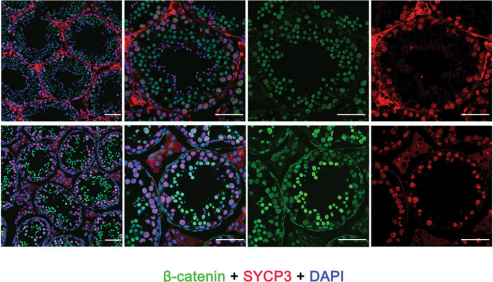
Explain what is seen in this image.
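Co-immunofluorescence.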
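These are cross-sections of testis, with many round seminiferous tubules cut transversely and packed side by side. Inside each tubule, blue nuclei are stacked in several layers from the outer wall toward a central lumen. Green signal lies in round nuclei of a subset of cells inside the tubules. Red signal outlines the borders of the tubules and the spaces between them, and also marks scattered nuclei within the epithelium. Close-up views at larger magnification show single tubules with their layered cells, with the green and red channels also shown apart.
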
